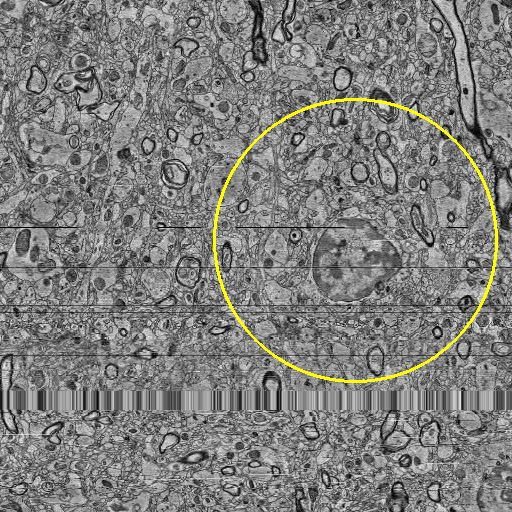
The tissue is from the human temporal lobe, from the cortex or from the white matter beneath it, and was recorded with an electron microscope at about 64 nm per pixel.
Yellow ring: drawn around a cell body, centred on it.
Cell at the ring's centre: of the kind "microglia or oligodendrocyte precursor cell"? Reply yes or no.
yes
